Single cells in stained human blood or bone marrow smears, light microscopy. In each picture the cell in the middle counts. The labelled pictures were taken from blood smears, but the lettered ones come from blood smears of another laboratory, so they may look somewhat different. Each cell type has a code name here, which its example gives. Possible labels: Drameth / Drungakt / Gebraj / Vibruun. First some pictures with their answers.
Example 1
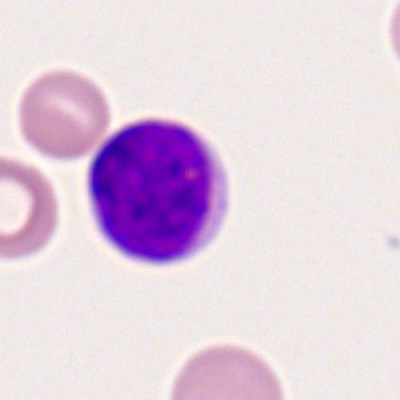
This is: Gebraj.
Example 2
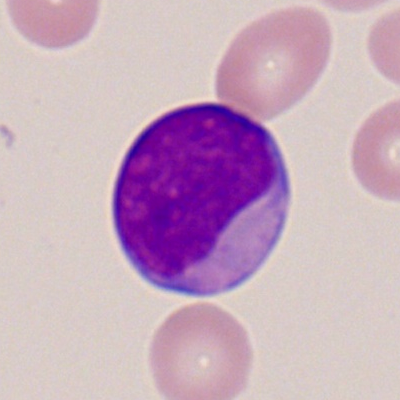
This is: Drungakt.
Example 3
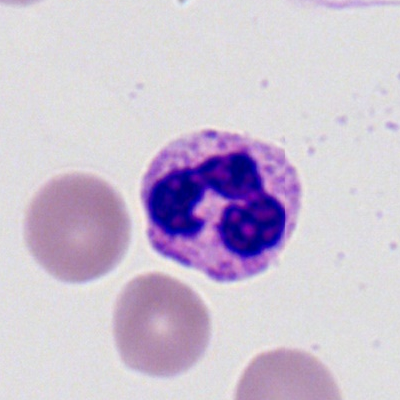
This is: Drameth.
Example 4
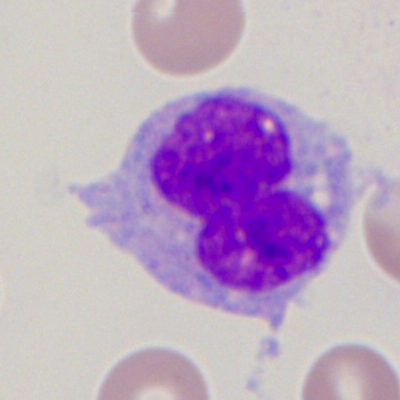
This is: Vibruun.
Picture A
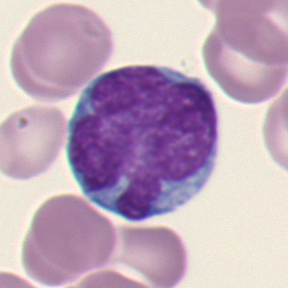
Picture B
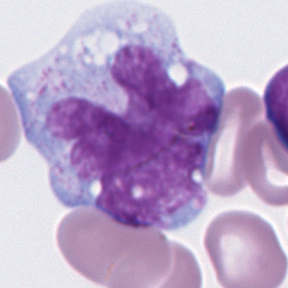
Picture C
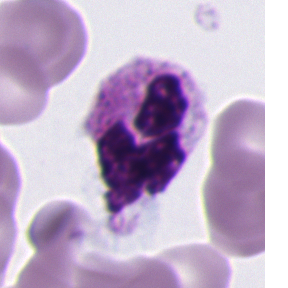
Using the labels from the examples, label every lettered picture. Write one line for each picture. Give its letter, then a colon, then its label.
A: Drungakt.
B: Vibruun.
C: Drameth.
